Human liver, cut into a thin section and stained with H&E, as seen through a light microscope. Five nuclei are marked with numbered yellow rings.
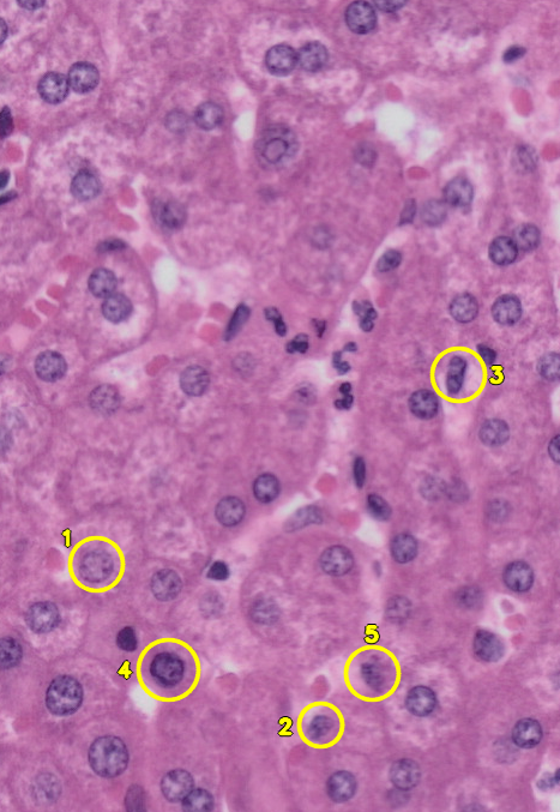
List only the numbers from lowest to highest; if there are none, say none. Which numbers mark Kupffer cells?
3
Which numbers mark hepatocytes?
1, 4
